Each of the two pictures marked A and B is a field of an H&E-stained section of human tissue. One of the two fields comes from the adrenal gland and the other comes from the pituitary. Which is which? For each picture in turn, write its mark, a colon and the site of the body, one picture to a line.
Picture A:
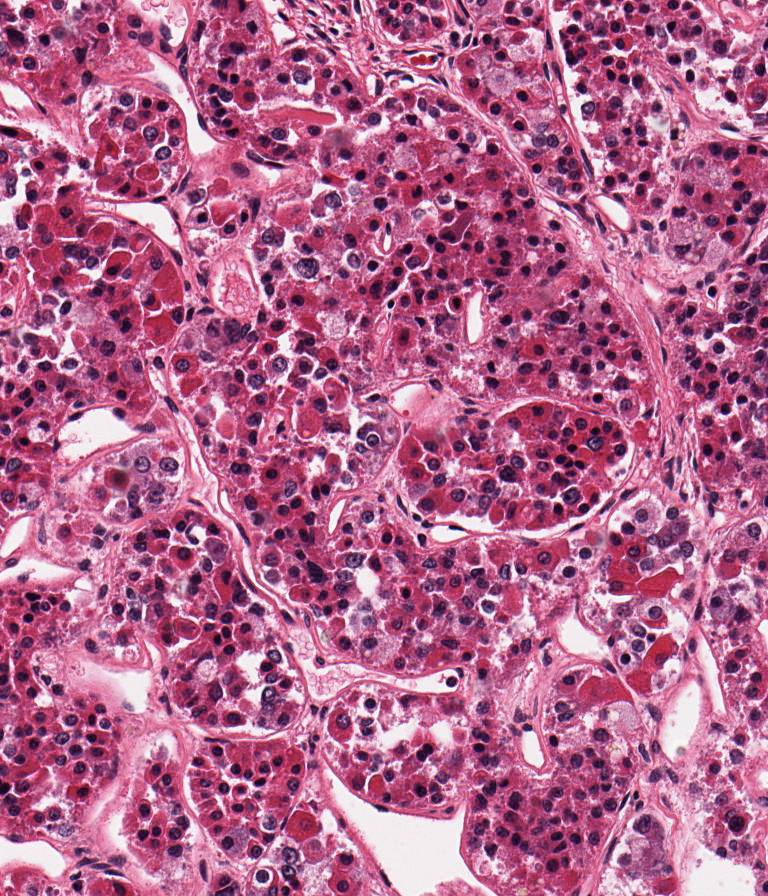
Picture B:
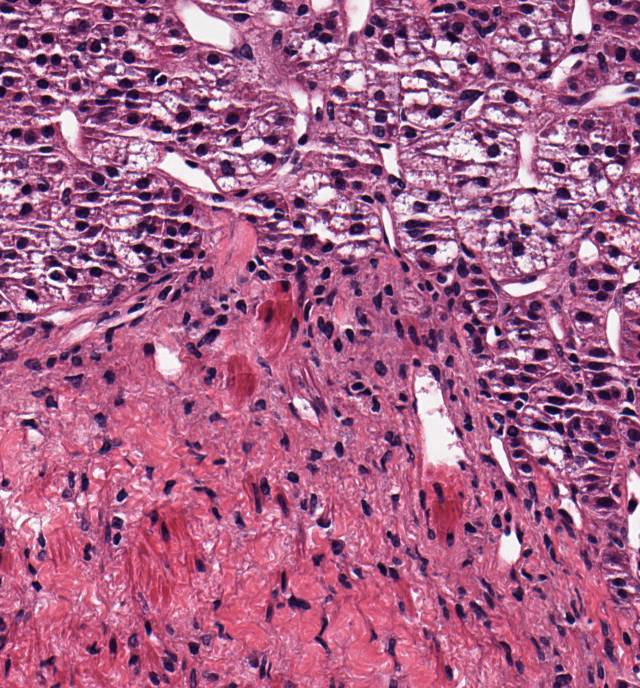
A: pituitary
B: adrenal gland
